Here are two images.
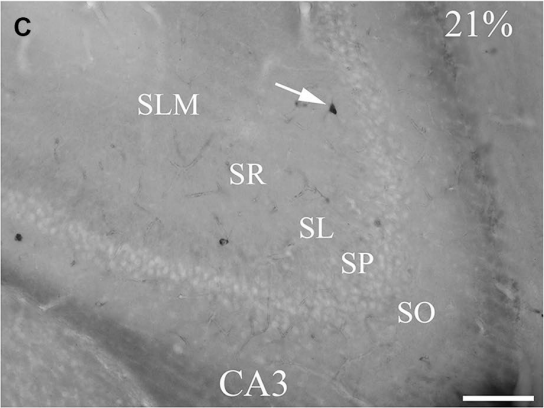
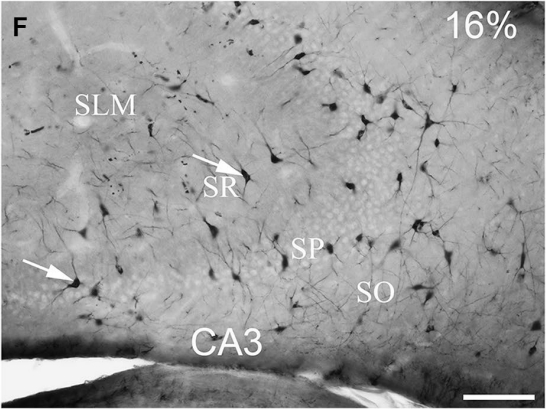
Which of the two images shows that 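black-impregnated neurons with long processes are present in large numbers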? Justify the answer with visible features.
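The second image. Second image: dozens of black cell bodies with dark branching processes fill the field.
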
